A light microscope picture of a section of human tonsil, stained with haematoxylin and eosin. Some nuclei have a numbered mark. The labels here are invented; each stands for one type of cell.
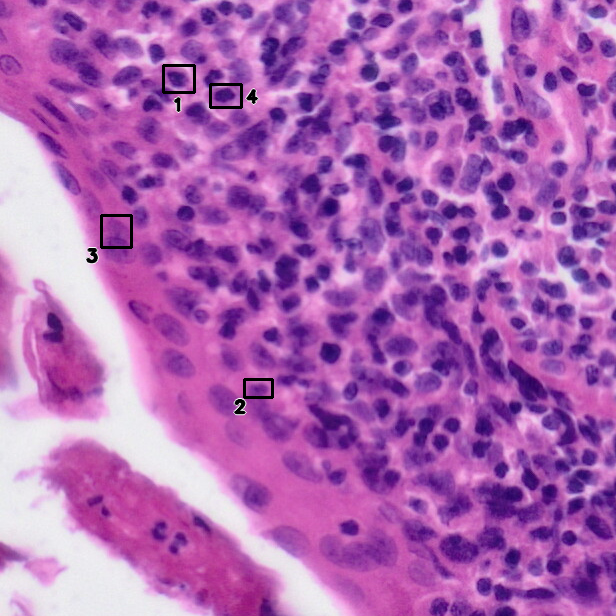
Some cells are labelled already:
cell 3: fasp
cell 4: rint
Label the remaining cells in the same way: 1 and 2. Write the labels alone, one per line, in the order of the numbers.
rint
fasp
